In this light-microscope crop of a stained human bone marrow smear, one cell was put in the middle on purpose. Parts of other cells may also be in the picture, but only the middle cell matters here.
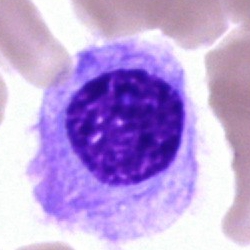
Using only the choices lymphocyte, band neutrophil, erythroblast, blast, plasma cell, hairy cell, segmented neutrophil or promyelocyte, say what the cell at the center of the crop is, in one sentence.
Present in the middle of the crop is a hairy cell.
